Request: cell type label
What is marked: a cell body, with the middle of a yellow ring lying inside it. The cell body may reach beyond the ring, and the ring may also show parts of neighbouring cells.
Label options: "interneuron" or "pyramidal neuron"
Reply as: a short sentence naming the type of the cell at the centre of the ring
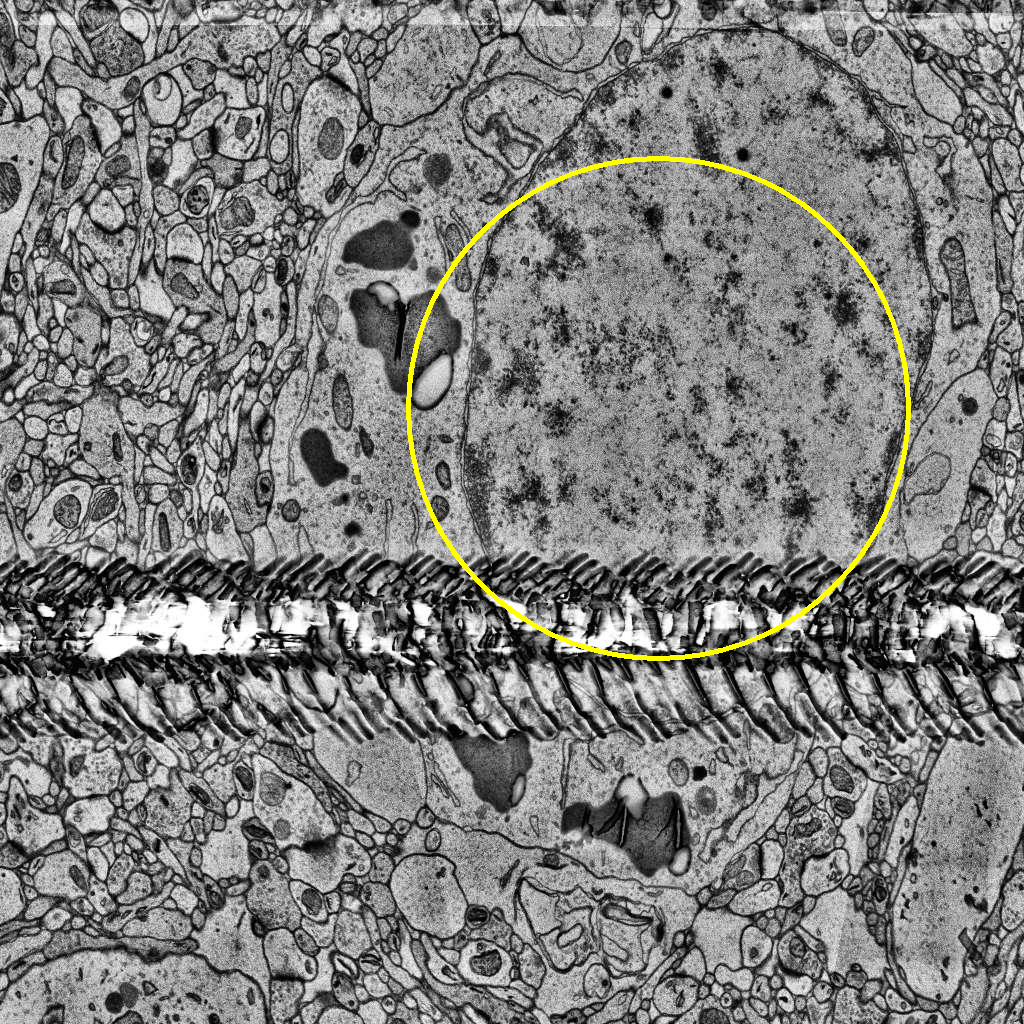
The marked cell body is that of an interneuron.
